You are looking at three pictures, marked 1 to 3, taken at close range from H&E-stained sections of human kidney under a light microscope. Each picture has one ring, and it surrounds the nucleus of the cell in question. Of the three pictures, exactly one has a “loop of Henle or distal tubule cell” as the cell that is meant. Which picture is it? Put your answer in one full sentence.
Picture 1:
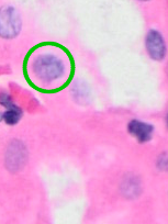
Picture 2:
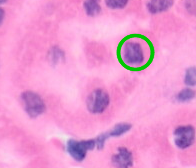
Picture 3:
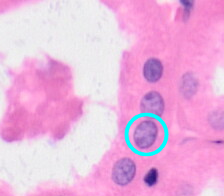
The picture with the “loop of Henle or distal tubule cell” is 1.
